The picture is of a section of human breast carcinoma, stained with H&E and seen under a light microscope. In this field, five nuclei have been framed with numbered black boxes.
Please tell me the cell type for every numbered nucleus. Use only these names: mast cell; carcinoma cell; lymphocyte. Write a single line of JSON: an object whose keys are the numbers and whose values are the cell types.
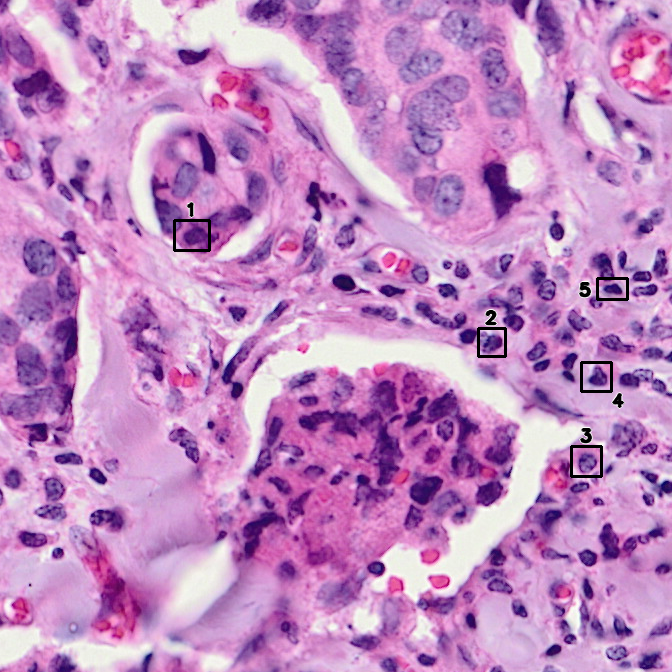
{"1": "carcinoma cell", "2": "lymphocyte", "3": "mast cell", "4": "lymphocyte", "5": "lymphocyte"}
